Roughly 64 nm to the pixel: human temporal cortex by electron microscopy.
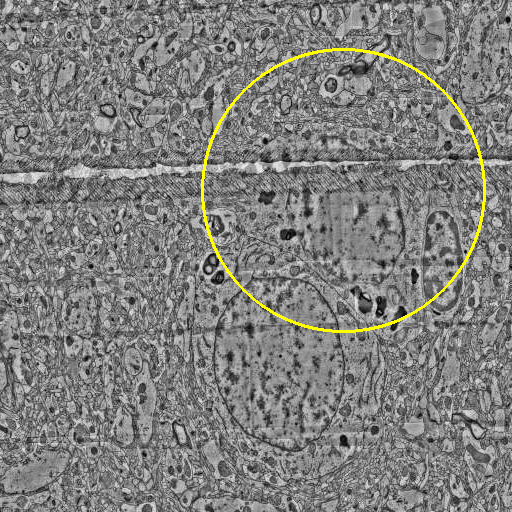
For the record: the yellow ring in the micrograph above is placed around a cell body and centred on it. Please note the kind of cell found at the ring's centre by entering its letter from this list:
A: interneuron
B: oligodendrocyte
A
